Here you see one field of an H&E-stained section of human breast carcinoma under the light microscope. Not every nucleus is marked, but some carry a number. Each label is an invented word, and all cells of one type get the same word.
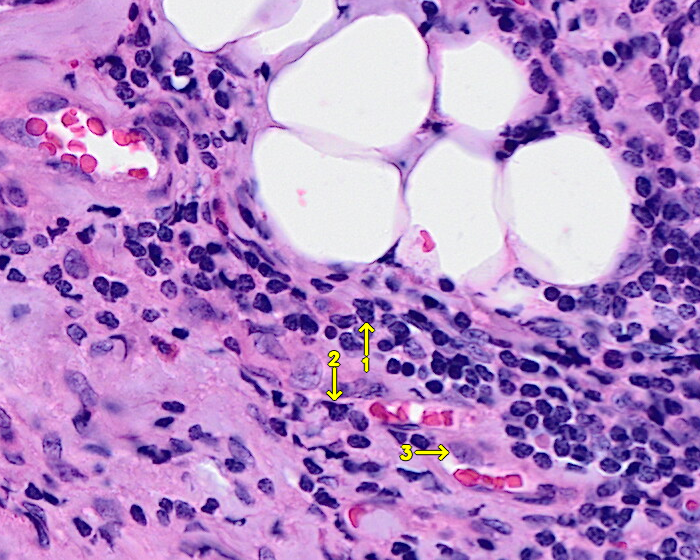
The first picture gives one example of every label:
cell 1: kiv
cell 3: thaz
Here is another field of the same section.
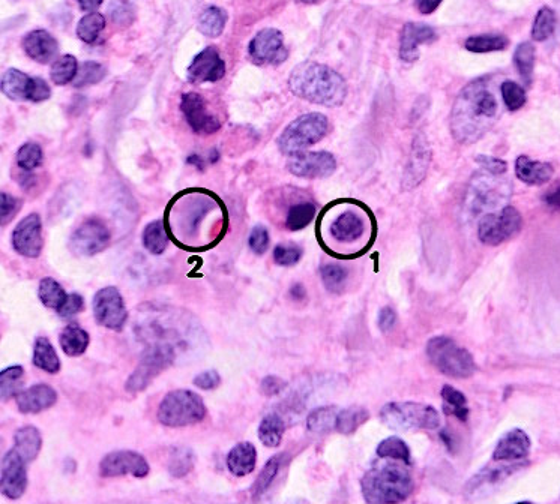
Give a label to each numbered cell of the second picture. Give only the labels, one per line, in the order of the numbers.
kiv
thaz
